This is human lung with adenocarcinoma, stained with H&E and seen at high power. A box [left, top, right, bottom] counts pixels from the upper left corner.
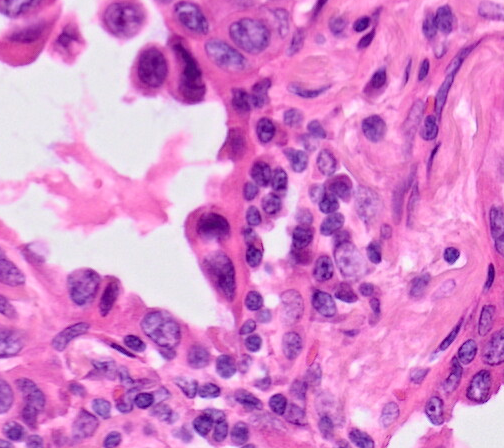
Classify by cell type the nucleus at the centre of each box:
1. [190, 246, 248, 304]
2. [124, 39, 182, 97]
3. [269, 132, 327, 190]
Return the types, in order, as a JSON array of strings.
["carcinoma cell", "carcinoma cell", "lymphocyte"]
